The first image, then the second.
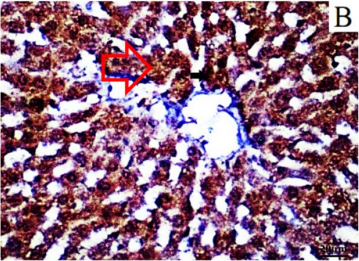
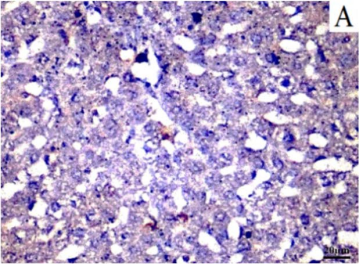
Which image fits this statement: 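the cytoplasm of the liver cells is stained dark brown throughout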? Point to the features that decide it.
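The first image. Second image: liver cells are pale purple-blue with almost no brown. First image: nearly all liver cells have dark brown cytoplasm.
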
